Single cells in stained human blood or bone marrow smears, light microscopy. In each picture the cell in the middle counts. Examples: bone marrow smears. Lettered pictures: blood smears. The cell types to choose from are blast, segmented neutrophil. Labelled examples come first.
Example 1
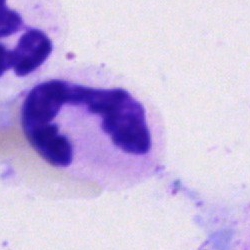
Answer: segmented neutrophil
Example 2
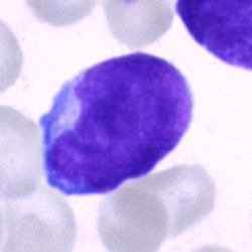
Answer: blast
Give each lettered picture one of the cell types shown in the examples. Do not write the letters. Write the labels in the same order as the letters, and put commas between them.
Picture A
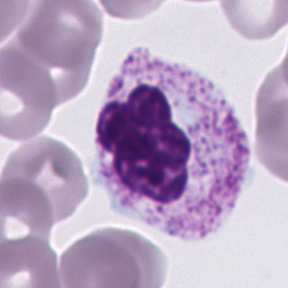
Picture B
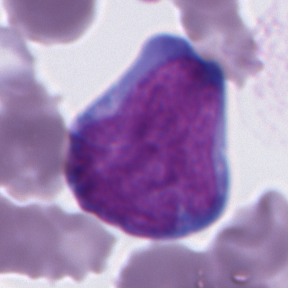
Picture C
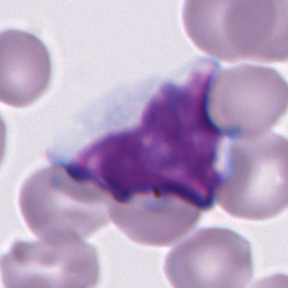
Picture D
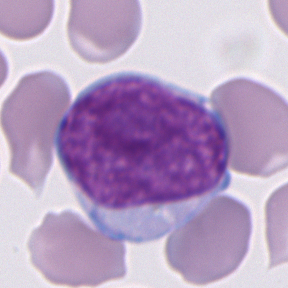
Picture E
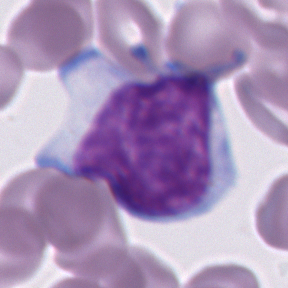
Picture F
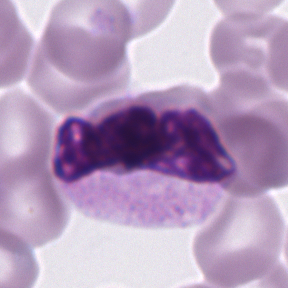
segmented neutrophil, blast, blast, blast, blast, segmented neutrophil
